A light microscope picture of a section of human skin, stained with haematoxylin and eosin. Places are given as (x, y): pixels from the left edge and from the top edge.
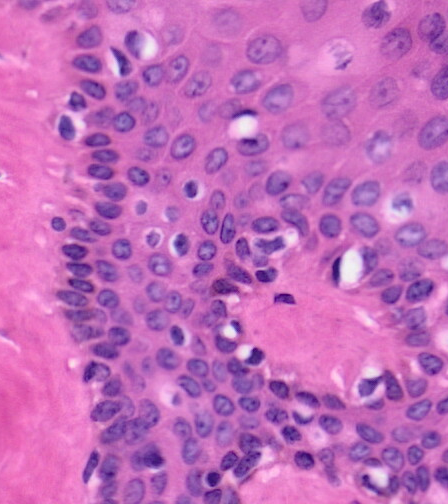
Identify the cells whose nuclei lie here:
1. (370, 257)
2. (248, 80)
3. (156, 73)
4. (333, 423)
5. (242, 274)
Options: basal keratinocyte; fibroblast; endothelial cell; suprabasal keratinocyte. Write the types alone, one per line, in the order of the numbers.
basal keratinocyte
suprabasal keratinocyte
suprabasal keratinocyte
basal keratinocyte
basal keratinocyte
